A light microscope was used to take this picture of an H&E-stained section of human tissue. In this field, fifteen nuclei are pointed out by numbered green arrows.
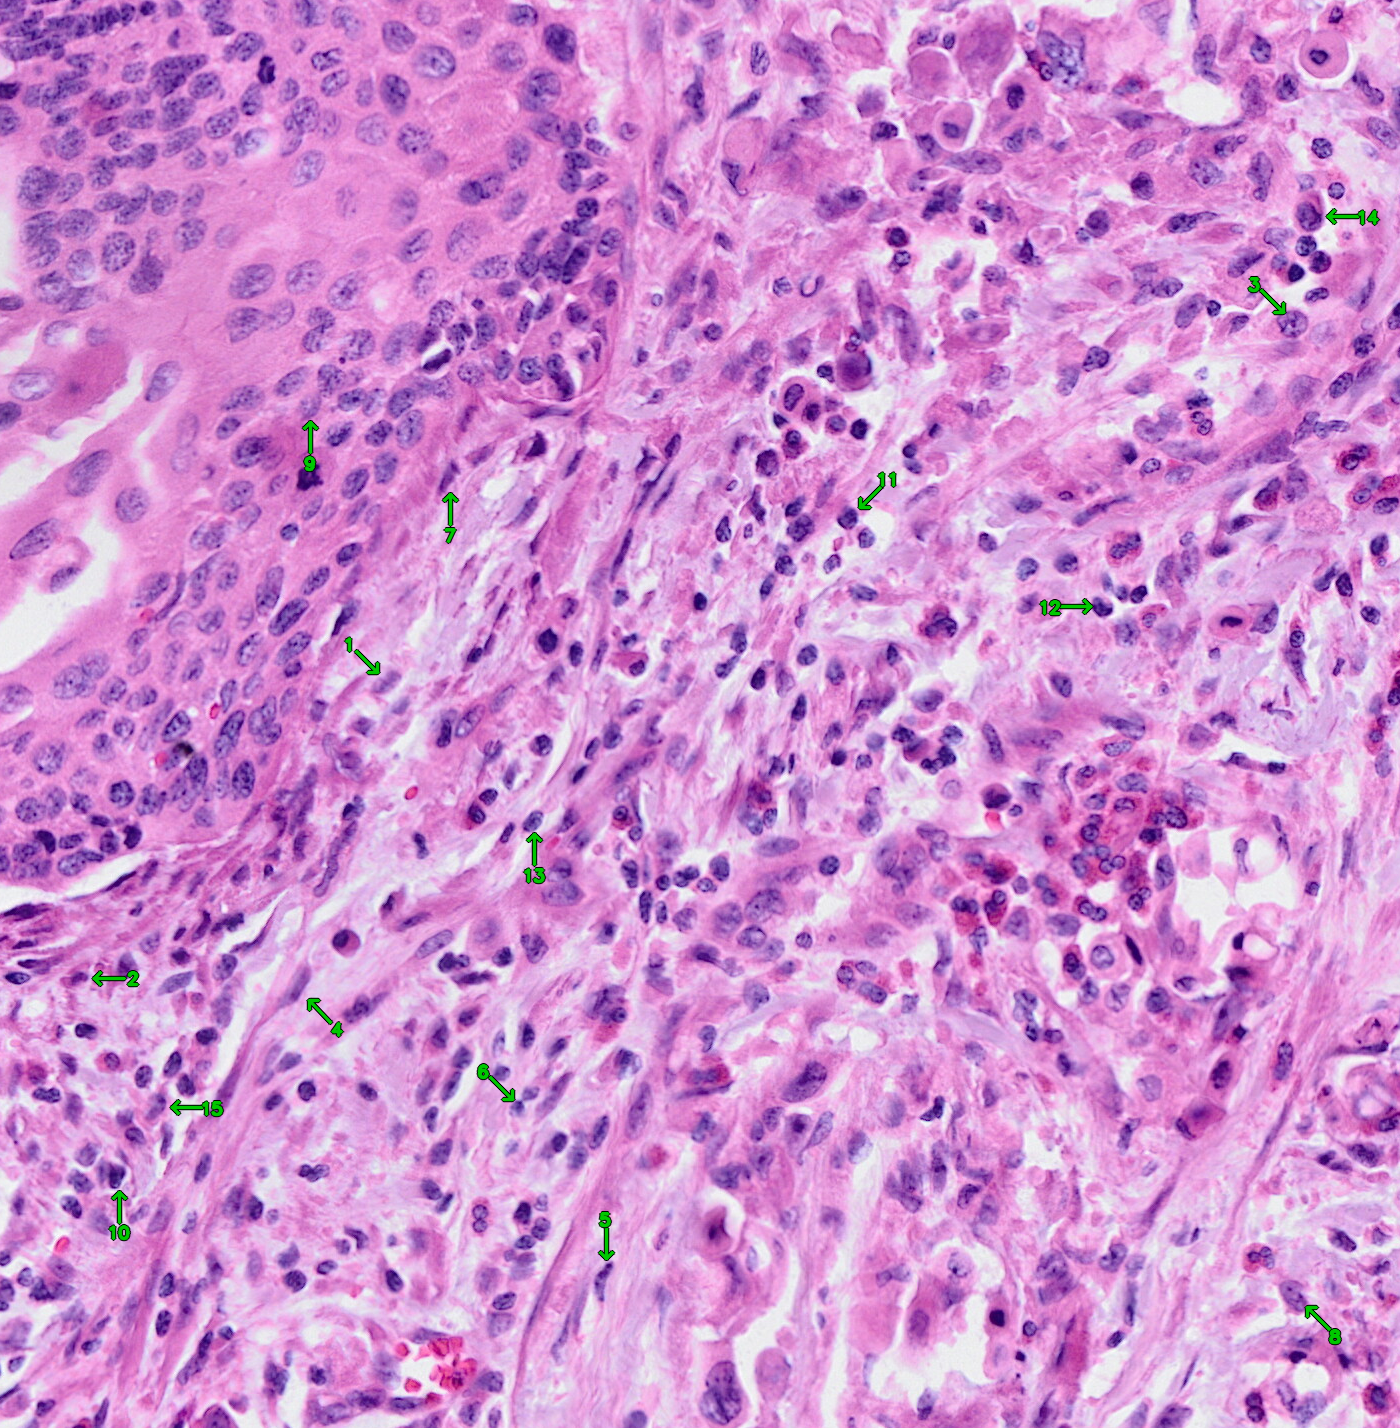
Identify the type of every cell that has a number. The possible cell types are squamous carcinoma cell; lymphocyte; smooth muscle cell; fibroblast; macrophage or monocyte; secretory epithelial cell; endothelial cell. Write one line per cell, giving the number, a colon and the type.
1: fibroblast
2: fibroblast
3: macrophage or monocyte
4: fibroblast
5: fibroblast
6: lymphocyte
7: fibroblast
8: macrophage or monocyte
9: squamous carcinoma cell
10: lymphocyte
11: lymphocyte
12: lymphocyte
13: lymphocyte
14: macrophage or monocyte
15: macrophage or monocyte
